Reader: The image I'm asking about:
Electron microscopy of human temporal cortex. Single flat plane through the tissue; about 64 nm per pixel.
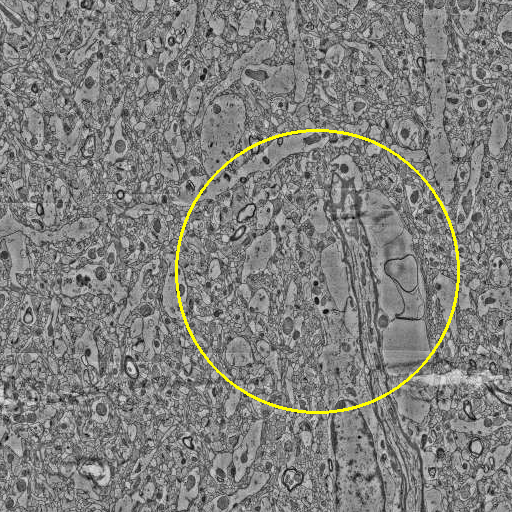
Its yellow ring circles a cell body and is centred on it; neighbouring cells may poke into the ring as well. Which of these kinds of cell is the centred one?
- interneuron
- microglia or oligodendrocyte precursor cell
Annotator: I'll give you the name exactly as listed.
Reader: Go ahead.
microglia or oligodendrocyte precursor cell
